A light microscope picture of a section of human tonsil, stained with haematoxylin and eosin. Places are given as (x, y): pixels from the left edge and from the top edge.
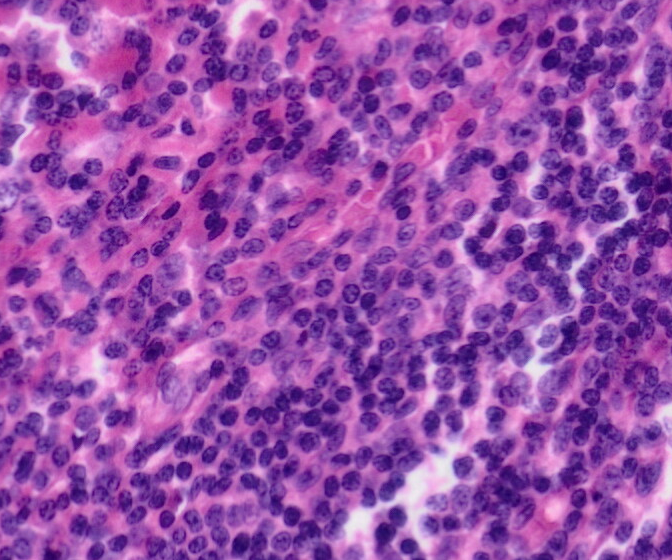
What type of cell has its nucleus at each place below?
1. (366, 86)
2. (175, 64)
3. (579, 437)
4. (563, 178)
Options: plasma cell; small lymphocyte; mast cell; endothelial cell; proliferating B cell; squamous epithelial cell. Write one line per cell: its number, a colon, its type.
1: small lymphocyte
2: plasma cell
3: small lymphocyte
4: small lymphocyte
